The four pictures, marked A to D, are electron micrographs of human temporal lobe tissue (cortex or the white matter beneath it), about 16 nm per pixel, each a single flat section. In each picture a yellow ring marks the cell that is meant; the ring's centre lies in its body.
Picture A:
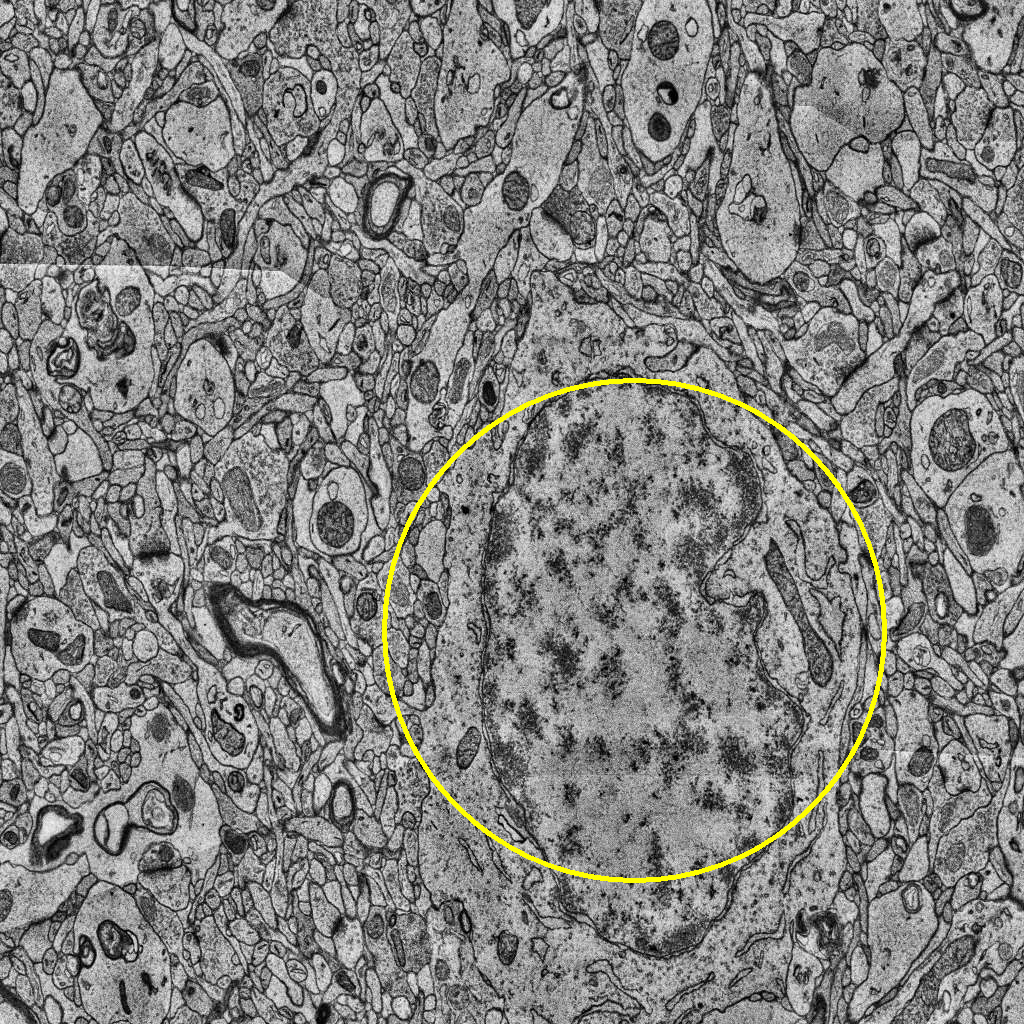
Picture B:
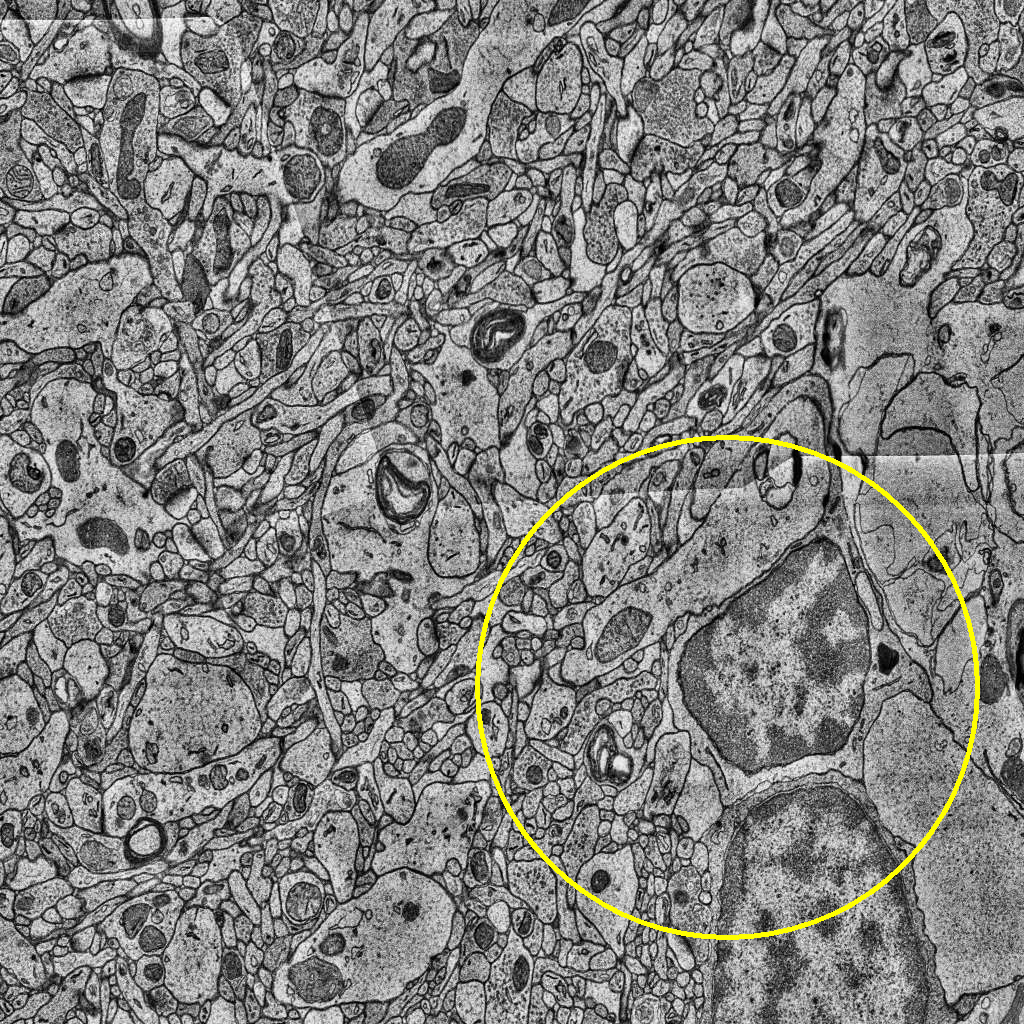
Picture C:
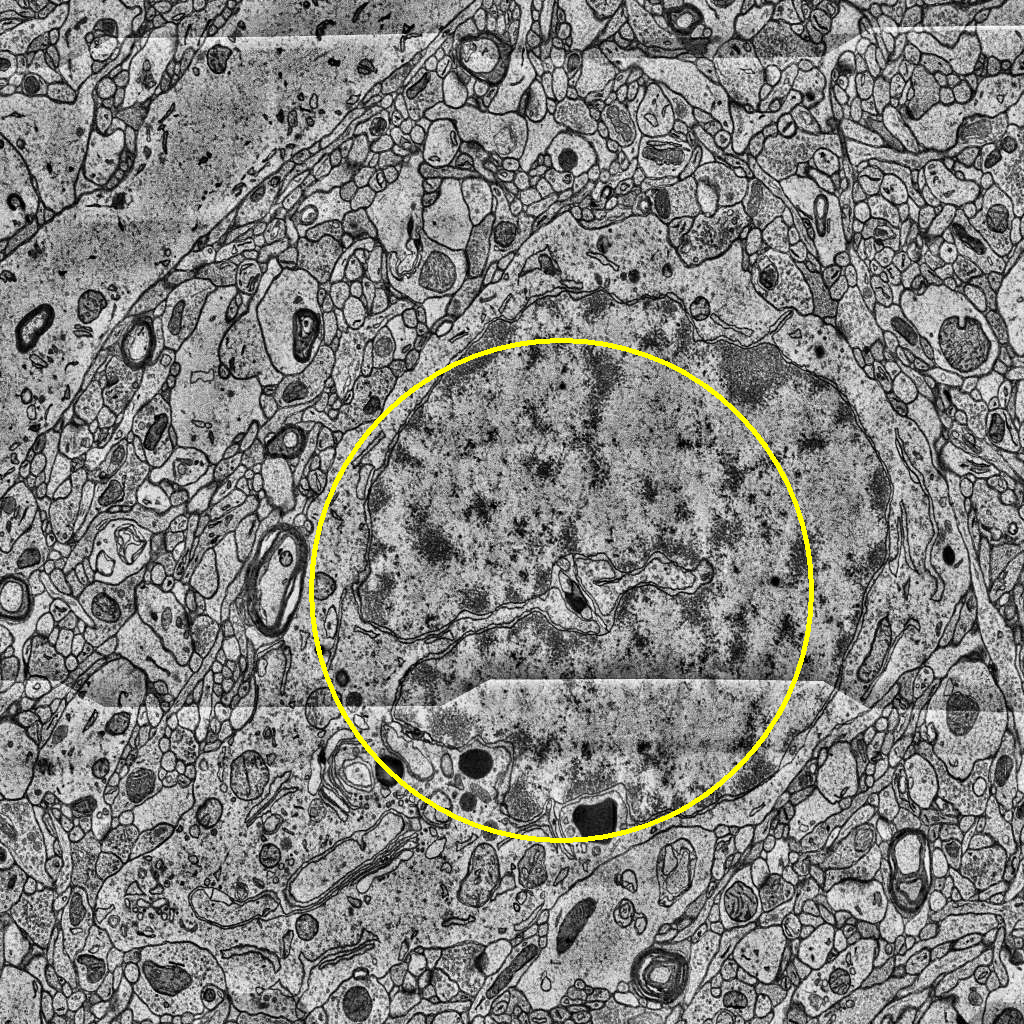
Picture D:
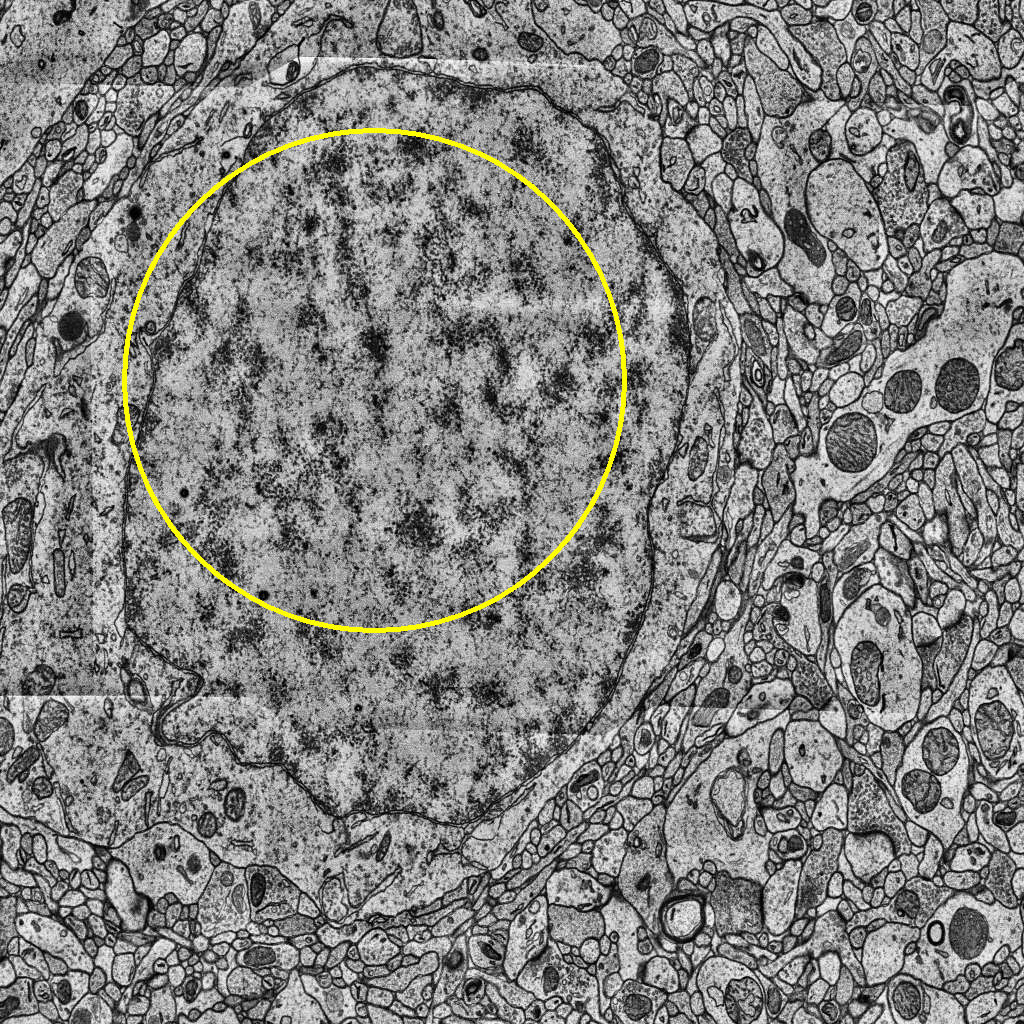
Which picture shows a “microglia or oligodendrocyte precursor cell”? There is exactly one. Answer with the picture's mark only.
B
